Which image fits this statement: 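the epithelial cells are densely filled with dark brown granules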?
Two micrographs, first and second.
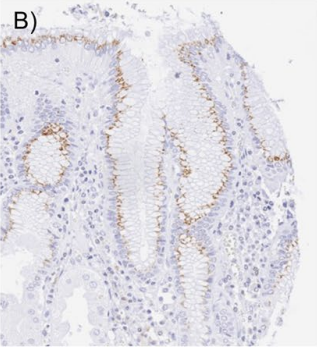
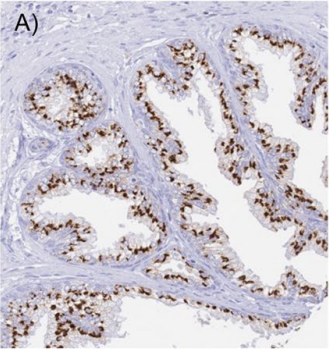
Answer: The second image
